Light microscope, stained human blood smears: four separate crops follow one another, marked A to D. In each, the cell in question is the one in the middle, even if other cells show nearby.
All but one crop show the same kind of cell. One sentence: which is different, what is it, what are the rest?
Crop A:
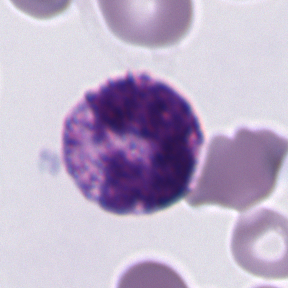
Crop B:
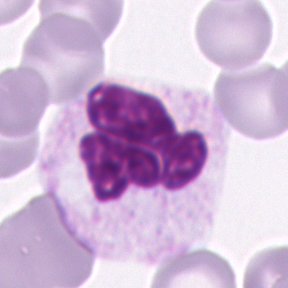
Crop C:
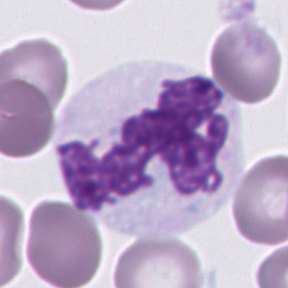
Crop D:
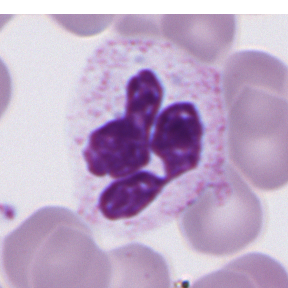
Among these crops, neutrophils occur in all but crop A, which contains a basophil.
